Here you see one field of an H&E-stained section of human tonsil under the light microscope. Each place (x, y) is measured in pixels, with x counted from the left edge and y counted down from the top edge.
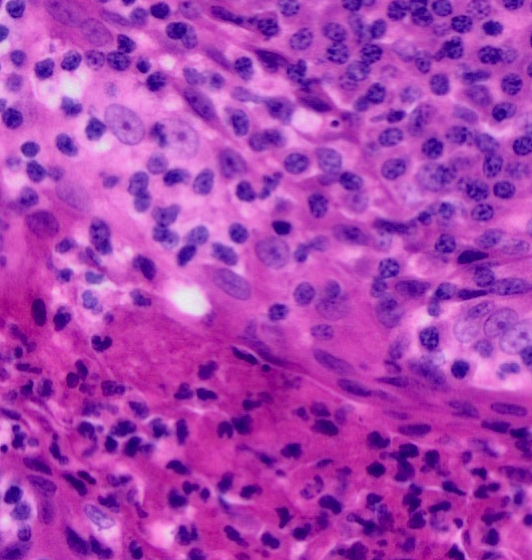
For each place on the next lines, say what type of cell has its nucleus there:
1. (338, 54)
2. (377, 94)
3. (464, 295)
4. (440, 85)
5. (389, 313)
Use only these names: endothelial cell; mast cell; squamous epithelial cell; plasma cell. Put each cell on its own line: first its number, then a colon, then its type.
1: plasma cell
2: plasma cell
3: squamous epithelial cell
4: plasma cell
5: squamous epithelial cell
